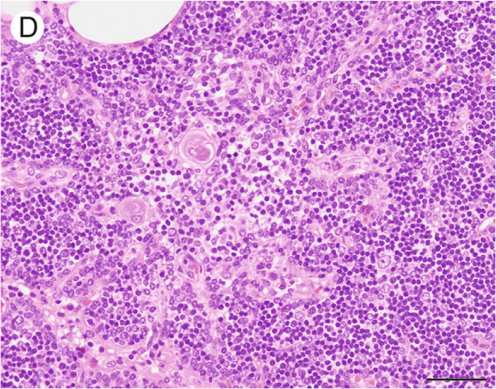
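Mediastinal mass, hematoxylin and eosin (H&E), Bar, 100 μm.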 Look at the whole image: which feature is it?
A: Hassall’s bodies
